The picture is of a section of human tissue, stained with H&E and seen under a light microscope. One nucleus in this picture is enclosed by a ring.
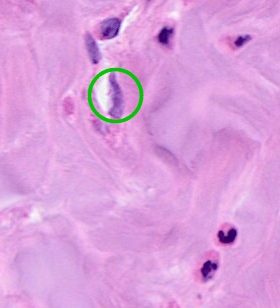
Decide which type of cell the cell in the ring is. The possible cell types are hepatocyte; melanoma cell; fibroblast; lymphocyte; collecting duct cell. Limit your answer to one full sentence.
In terms of identity, the cell in the ring is a fibroblast.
